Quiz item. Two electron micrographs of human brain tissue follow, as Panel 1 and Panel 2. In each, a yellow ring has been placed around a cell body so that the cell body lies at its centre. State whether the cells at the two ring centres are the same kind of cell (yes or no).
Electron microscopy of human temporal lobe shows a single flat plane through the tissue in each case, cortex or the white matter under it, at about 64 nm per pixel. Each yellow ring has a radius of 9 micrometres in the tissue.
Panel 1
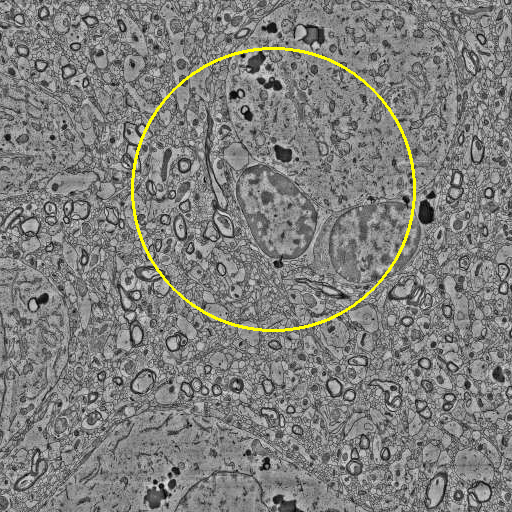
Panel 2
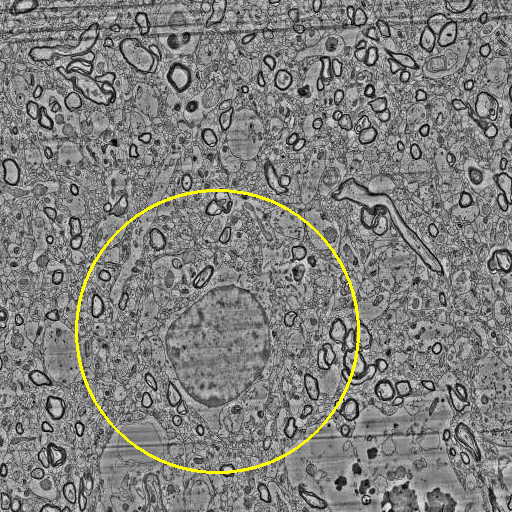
yes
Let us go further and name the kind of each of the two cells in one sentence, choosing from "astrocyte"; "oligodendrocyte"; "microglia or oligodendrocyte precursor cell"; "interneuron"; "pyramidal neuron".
In each of the two pictures, the ringed cell is a microglial cell or oligodendrocyte precursor cell.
